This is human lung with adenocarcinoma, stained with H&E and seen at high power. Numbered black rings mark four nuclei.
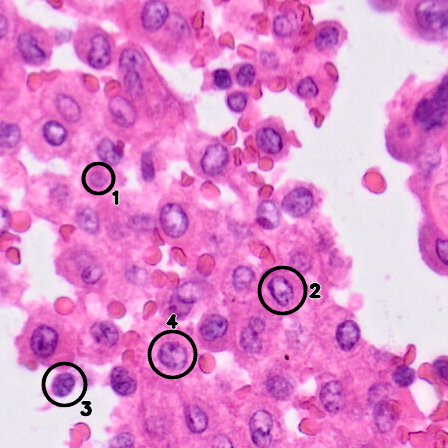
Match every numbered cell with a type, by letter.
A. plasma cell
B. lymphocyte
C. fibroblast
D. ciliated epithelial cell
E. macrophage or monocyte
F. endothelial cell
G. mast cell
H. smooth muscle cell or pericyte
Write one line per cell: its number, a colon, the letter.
1: E
2: E
3: B
4: E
